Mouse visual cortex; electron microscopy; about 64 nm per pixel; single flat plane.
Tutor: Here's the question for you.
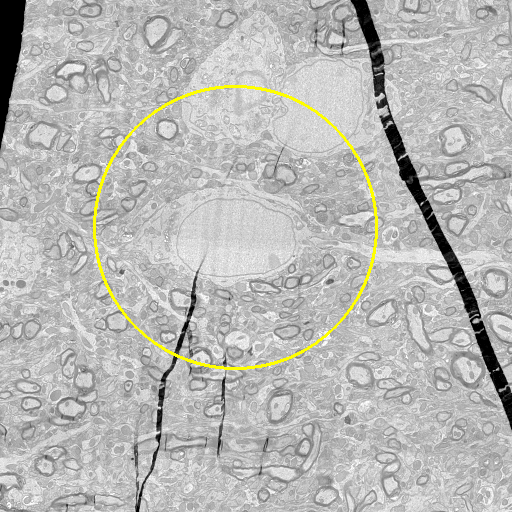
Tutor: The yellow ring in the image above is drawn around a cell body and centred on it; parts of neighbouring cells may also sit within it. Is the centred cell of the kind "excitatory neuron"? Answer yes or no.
yes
